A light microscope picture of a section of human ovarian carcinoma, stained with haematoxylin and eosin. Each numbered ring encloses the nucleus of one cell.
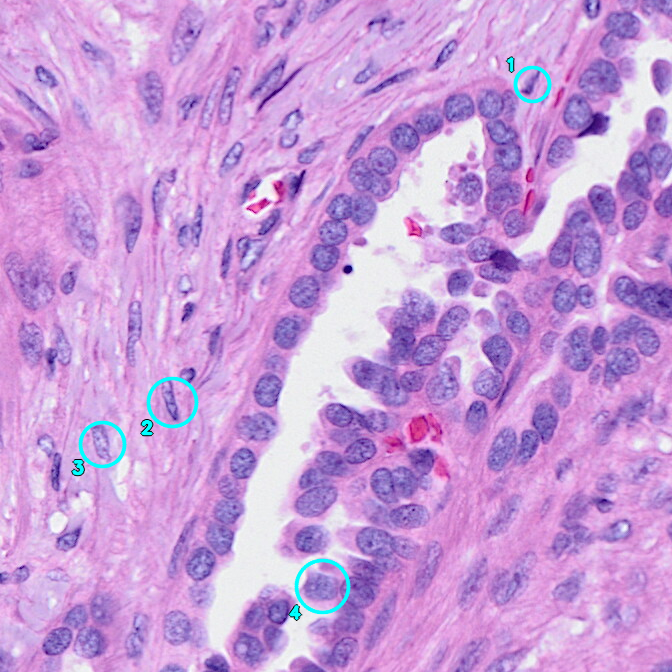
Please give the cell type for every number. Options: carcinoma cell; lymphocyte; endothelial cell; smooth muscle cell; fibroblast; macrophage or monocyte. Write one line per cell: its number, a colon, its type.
1: fibroblast
2: fibroblast
3: fibroblast
4: carcinoma cell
